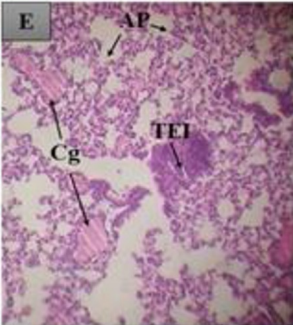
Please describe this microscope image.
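Lung tissue shows many open air spaces separated by thin pink septa. Elongated streaks of pink-red material lie within the tissue, and a compact purple patch of densely crowded small nuclei fills one area.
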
